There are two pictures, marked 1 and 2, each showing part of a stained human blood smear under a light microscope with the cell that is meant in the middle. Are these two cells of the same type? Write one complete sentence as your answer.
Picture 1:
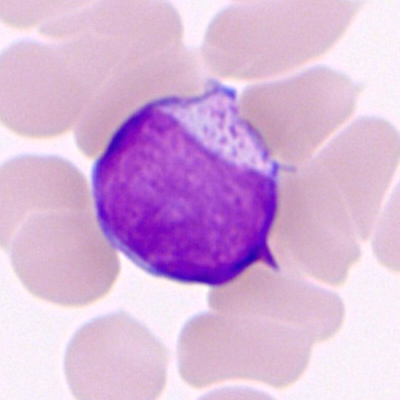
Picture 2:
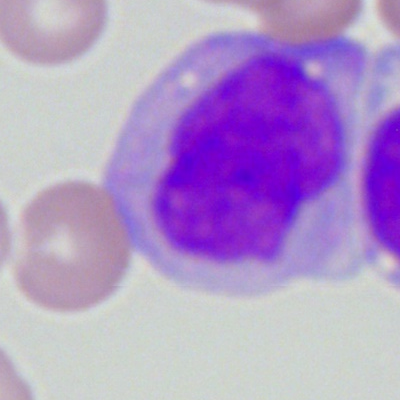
No, picture 1 shows a myeloblast and picture 2 shows a monocyte.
